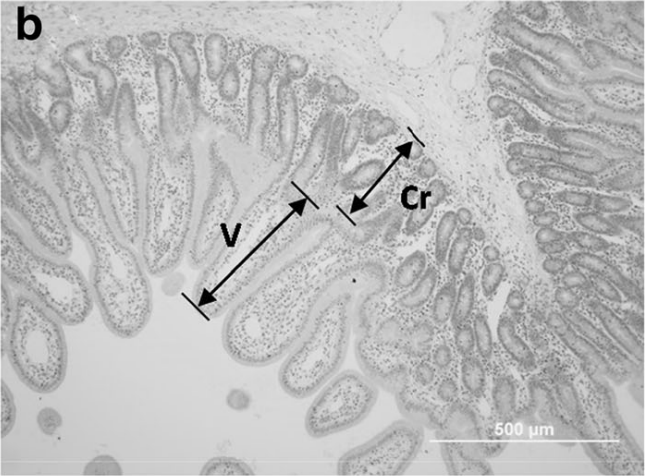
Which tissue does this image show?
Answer: Small intestine.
